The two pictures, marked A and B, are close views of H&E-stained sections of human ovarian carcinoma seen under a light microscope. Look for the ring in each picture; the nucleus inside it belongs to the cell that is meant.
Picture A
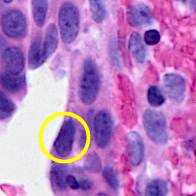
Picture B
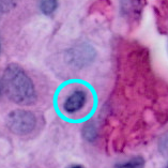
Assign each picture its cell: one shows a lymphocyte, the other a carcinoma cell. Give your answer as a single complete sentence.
Picture A is of a carcinoma cell, and picture B is of a lymphocyte.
